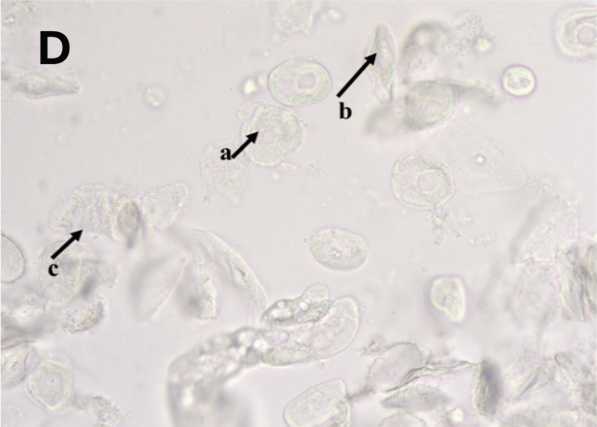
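A mixed population of shed epithelial cells lies on a pale, unstained background. Several rounded to oval cells have clear cytoplasm and a distinct round nucleus in the centre; these are nucleated epithelial cells. Some cells are elongated and taper at both ends, giving spindle shaped nucleated epithelial cells. Other cells are flat, irregular and folded with granular cytoplasm and no visible nucleus, the non-nucleated epithelial cells. In the lower part of the field cells overlap in clumps.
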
